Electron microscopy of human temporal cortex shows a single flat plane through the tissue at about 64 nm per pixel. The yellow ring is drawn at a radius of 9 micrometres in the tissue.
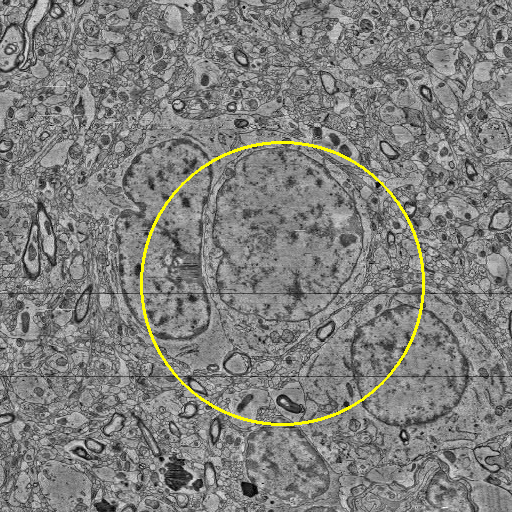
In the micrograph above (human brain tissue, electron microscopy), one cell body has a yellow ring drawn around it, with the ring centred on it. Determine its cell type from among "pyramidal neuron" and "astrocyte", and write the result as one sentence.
The cell whose body is ringed is a pyramidal neuron.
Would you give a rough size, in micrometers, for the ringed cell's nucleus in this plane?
Roughly 12 micrometres by 10 micrometres, in this plane.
